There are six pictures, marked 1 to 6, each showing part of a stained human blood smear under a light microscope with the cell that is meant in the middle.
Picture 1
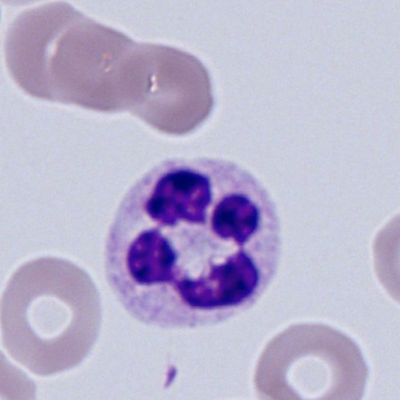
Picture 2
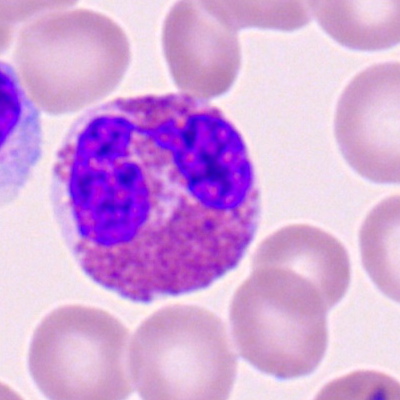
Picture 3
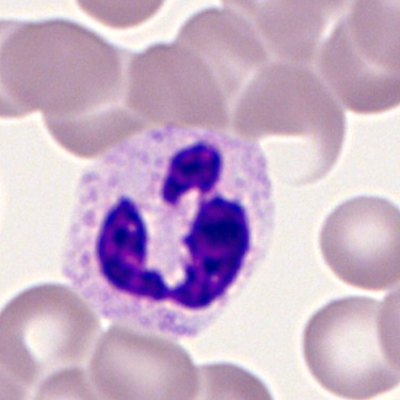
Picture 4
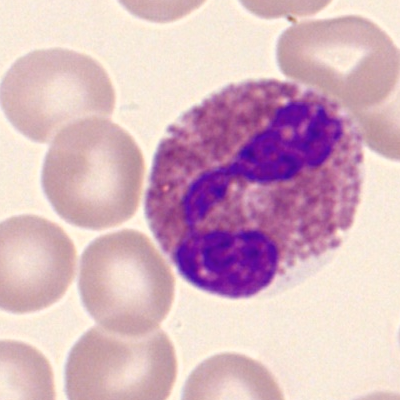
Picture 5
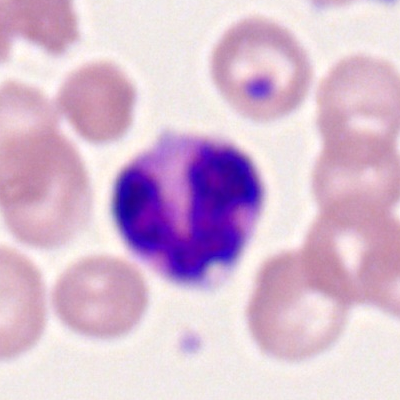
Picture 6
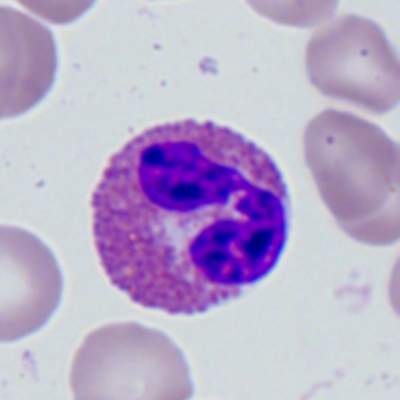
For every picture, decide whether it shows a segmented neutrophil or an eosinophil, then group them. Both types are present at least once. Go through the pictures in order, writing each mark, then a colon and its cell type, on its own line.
1: segmented neutrophil
2: eosinophil
3: segmented neutrophil
4: eosinophil
5: segmented neutrophil
6: eosinophil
